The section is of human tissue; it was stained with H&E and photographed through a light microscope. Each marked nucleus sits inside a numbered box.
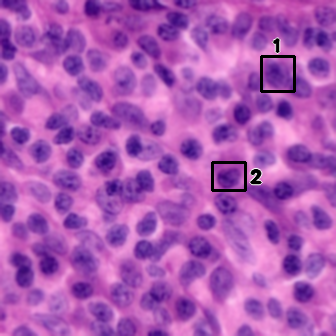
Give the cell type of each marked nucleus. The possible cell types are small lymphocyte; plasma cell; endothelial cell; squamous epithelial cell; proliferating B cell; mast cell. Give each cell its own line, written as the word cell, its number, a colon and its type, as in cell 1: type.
cell 1: squamous epithelial cell
cell 2: plasma cell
